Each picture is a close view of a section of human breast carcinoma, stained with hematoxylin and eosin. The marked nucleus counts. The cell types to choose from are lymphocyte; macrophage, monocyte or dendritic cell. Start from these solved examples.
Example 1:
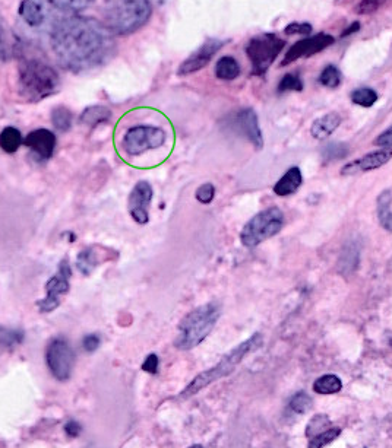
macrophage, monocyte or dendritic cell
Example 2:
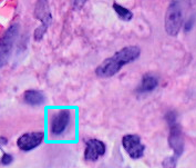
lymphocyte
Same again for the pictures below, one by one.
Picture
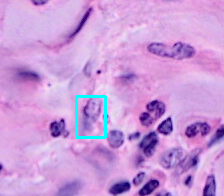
macrophage, monocyte or dendritic cell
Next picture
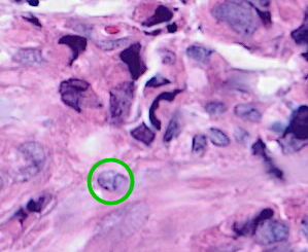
macrophage, monocyte or dendritic cell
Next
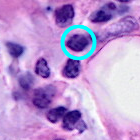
lymphocyte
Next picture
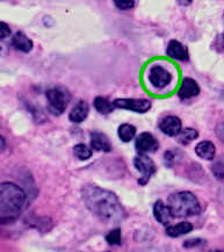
lymphocyte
